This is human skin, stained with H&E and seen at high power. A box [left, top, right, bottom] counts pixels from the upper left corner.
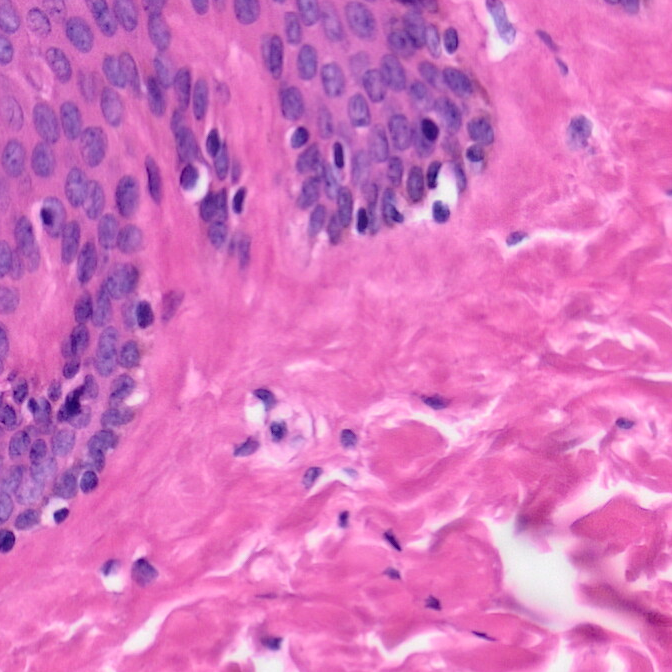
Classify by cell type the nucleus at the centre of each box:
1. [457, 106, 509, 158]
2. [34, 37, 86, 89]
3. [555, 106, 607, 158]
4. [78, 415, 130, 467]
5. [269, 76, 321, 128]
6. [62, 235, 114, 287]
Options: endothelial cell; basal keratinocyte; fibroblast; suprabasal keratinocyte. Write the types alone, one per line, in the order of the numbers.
basal keratinocyte
suprabasal keratinocyte
fibroblast
basal keratinocyte
basal keratinocyte
basal keratinocyte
